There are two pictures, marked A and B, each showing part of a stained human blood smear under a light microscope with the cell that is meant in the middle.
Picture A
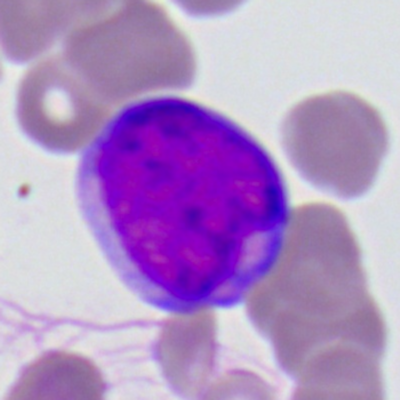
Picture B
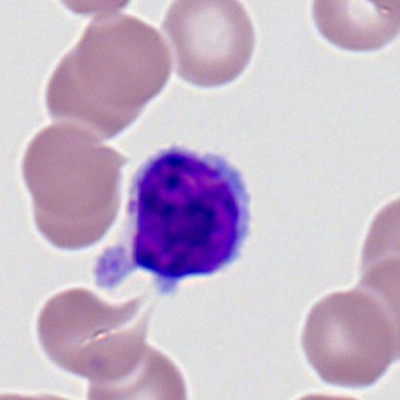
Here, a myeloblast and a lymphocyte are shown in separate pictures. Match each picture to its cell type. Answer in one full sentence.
Picture A is of a myeloblast, and picture B is of a lymphocyte.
